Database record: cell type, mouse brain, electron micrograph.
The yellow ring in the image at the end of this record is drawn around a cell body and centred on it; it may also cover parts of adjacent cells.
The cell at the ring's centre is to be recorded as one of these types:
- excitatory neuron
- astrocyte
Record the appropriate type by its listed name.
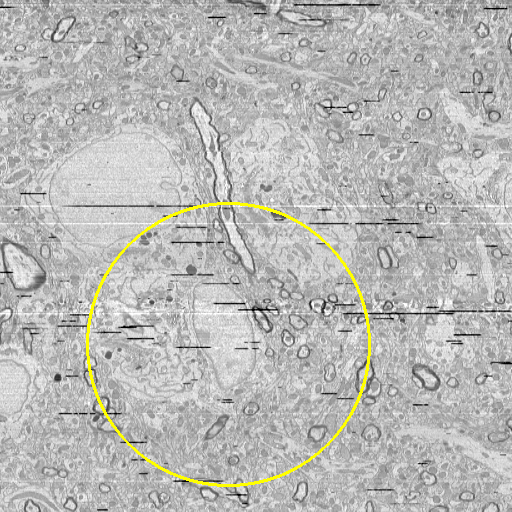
astrocyte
